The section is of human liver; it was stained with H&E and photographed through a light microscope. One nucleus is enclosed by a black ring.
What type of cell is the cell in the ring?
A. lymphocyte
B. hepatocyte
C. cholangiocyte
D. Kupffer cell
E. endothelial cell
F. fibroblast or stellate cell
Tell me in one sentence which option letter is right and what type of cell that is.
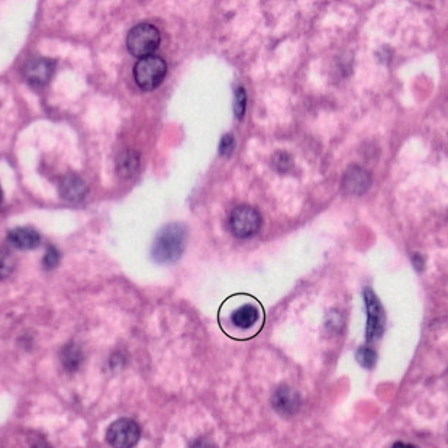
Option A, which has the cell in the ring as a lymphocyte, is the correct choice.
